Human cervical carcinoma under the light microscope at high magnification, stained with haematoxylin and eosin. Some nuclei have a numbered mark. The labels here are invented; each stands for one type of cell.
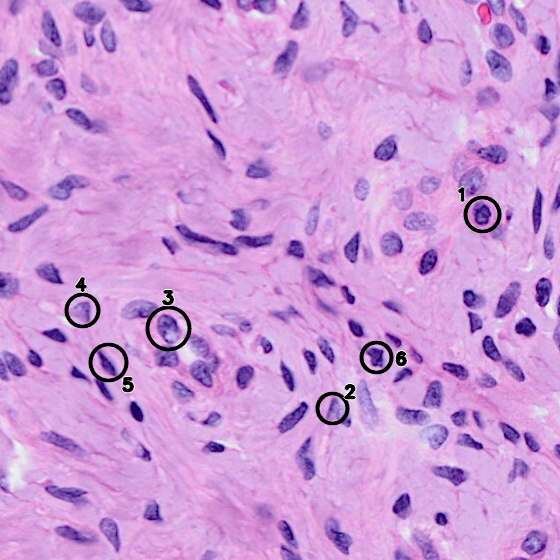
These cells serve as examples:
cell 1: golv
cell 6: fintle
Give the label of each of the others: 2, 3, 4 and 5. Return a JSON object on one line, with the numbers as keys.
{"2": "fintle", "3": "golv", "4": "fintle", "5": "fintle"}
